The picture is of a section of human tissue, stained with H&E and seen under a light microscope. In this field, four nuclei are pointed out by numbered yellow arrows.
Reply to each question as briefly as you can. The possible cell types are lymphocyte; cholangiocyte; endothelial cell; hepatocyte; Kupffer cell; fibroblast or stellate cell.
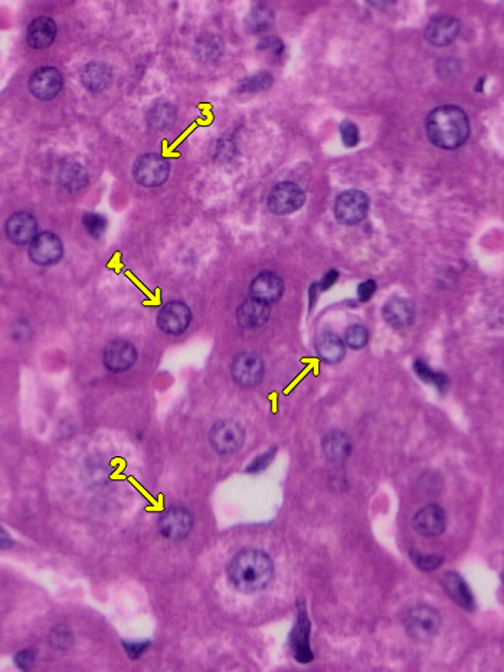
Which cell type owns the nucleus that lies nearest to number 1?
cholangiocyte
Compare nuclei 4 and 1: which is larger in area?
4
